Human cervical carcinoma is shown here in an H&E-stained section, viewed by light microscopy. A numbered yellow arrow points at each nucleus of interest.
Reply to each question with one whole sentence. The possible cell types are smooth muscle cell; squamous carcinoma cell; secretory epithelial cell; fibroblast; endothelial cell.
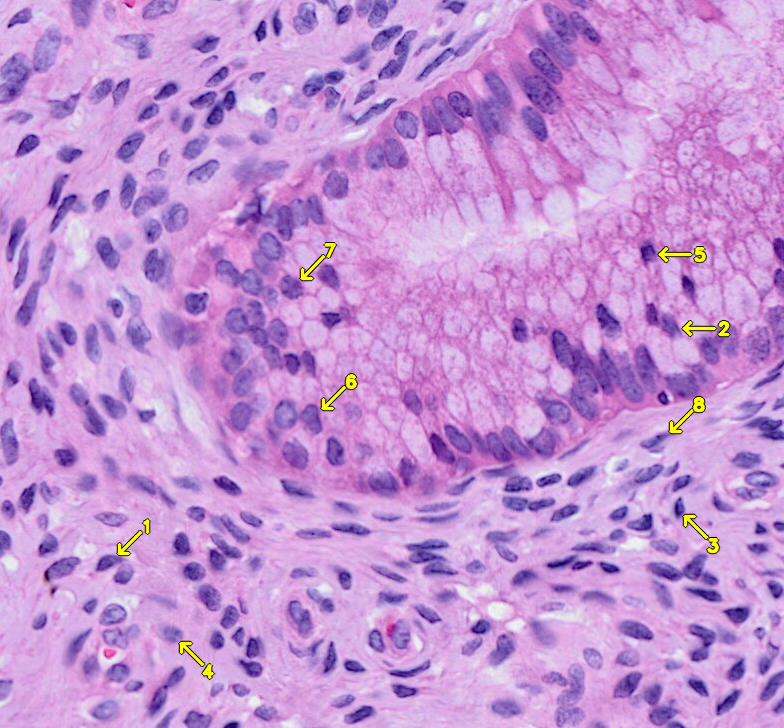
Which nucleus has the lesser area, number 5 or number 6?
Number 5 is smaller, since number 6 takes up about 1.5 times as much area.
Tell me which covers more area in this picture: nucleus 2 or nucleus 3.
Nucleus 2 is the larger one, covering about 1.5 times the area of nucleus 3.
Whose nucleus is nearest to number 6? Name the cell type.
Number 6 lies closest to the nucleus of a secretory epithelial cell.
